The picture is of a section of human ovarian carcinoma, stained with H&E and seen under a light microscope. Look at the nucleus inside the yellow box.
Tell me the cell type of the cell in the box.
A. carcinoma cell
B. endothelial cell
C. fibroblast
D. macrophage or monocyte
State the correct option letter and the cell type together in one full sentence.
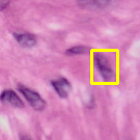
Best answer: option C, with the cell in the box being a fibroblast.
